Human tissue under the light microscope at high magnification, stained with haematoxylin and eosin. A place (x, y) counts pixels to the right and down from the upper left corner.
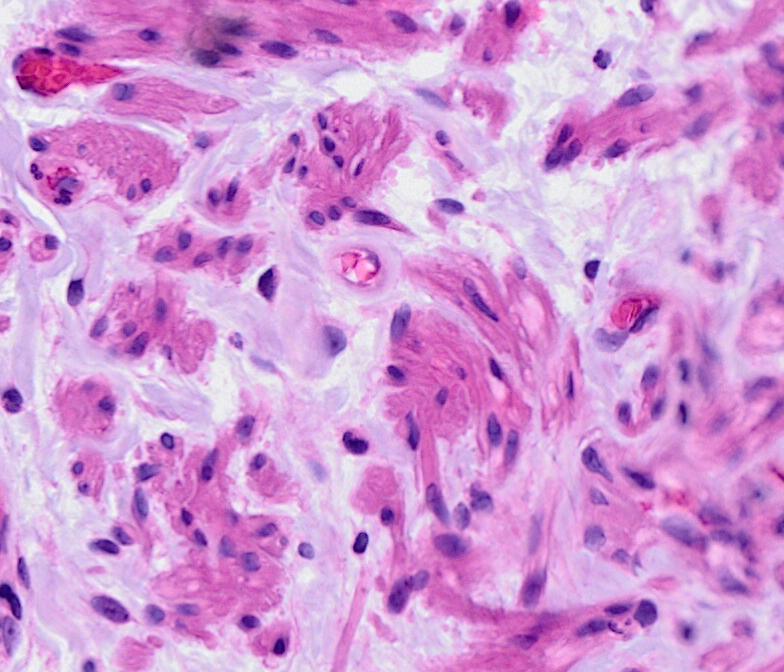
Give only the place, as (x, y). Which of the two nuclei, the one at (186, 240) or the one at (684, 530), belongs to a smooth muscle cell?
(186, 240)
